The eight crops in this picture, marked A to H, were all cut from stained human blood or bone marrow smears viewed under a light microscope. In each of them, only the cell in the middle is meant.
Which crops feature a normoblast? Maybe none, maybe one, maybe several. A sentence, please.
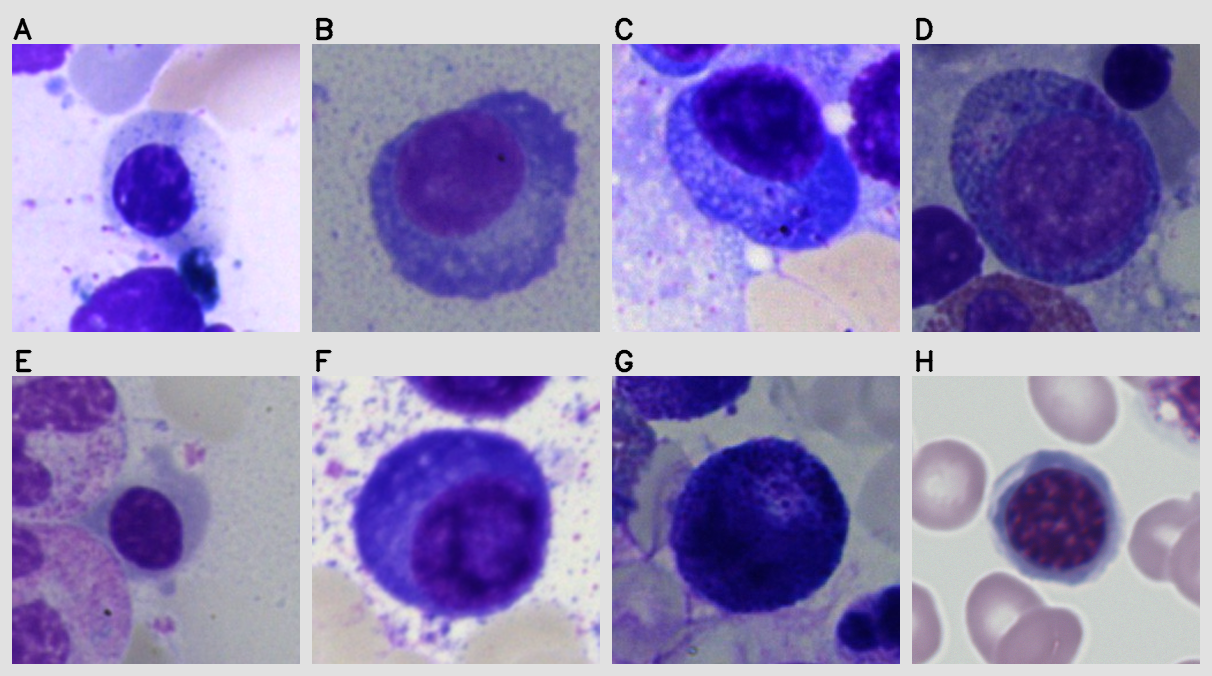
Crops A, E and H are designated as showing normoblasts.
